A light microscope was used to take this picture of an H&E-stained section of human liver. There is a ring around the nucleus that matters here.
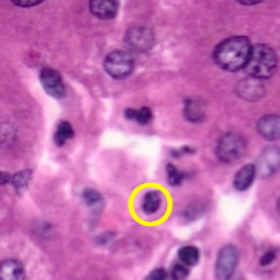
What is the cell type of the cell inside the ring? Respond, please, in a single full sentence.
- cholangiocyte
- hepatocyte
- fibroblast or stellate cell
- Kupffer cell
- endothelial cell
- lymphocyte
In the stained section, the cell inside the ring is a lymphocyte.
